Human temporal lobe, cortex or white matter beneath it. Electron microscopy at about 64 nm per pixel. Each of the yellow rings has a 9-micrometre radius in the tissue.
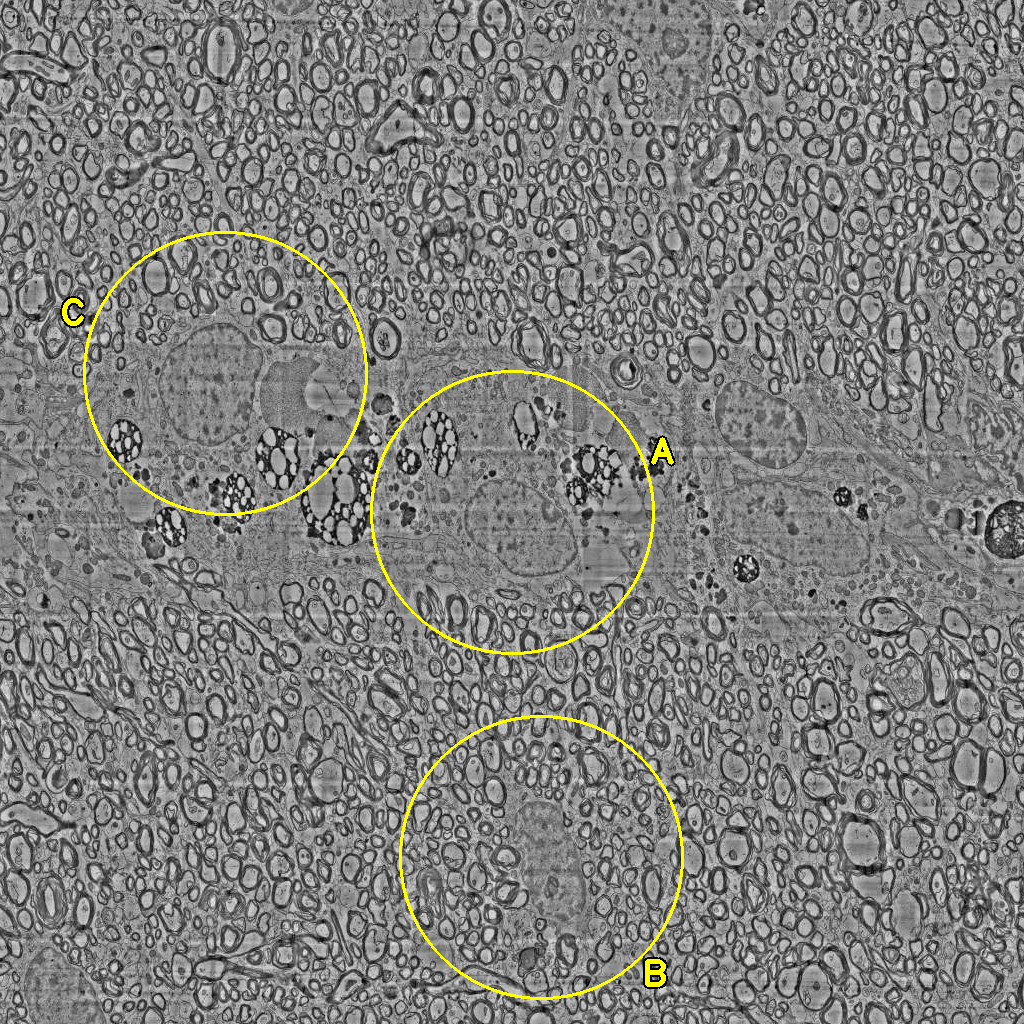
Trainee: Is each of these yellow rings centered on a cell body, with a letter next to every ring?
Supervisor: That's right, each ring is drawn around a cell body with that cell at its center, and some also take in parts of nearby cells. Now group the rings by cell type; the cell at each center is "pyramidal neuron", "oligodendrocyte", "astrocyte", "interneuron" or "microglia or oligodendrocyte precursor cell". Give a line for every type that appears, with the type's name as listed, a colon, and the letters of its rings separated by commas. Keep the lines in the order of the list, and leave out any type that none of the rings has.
oligodendrocyte: B
astrocyte: A, C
